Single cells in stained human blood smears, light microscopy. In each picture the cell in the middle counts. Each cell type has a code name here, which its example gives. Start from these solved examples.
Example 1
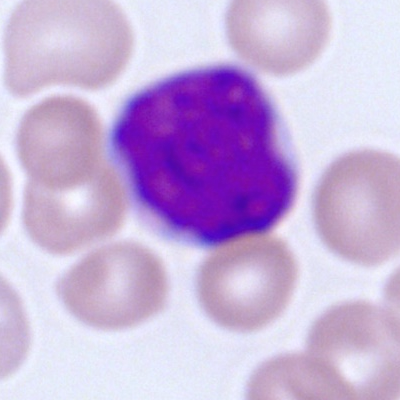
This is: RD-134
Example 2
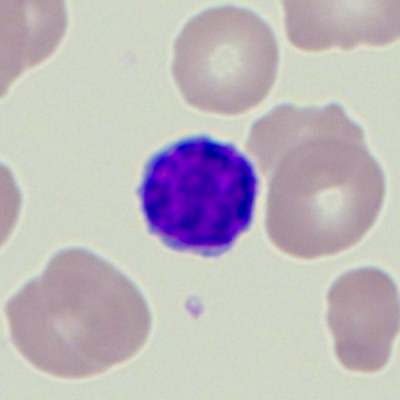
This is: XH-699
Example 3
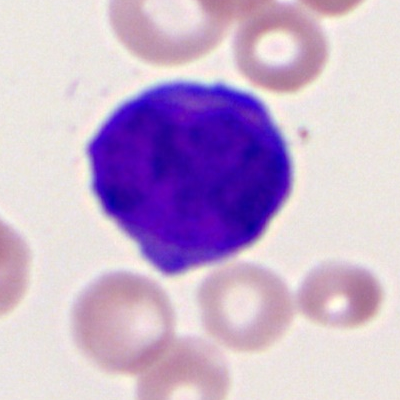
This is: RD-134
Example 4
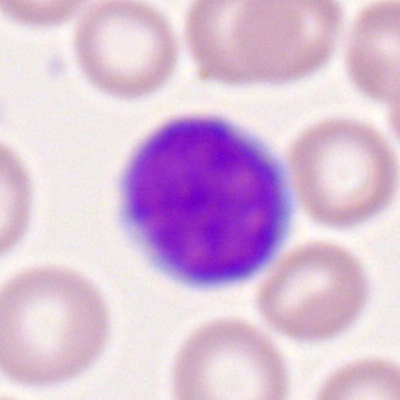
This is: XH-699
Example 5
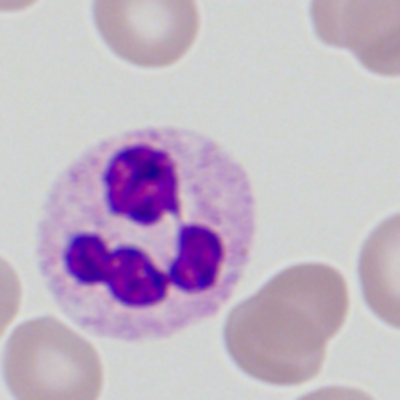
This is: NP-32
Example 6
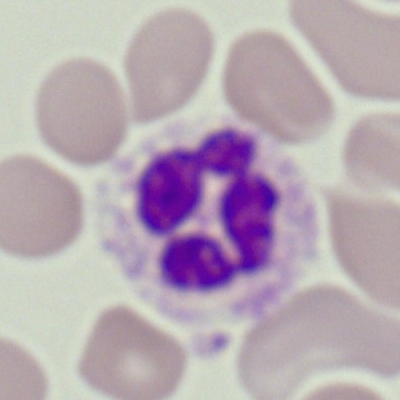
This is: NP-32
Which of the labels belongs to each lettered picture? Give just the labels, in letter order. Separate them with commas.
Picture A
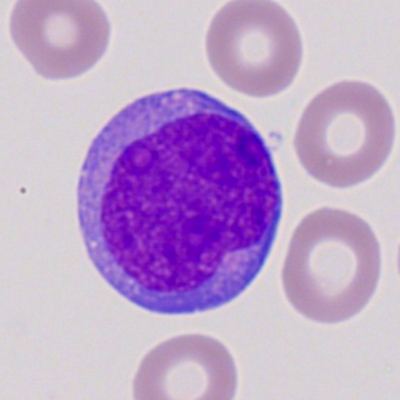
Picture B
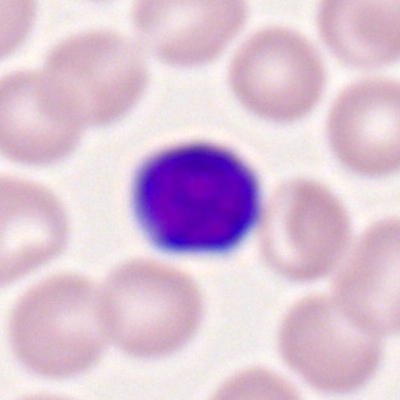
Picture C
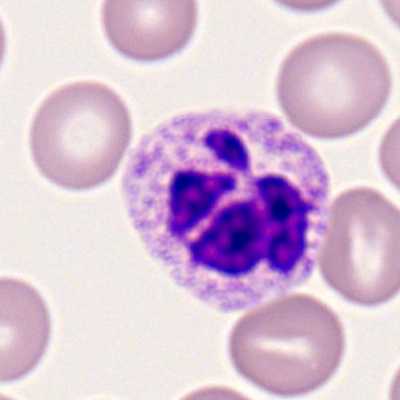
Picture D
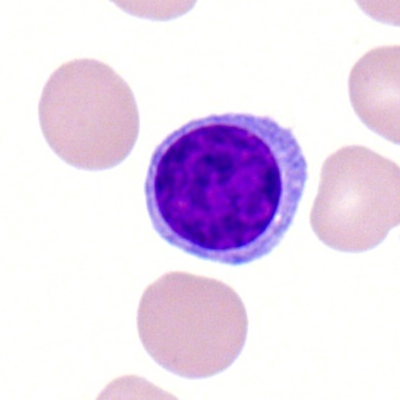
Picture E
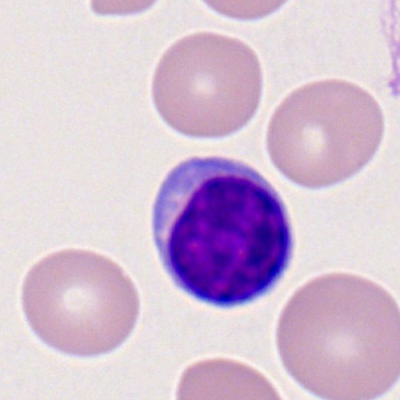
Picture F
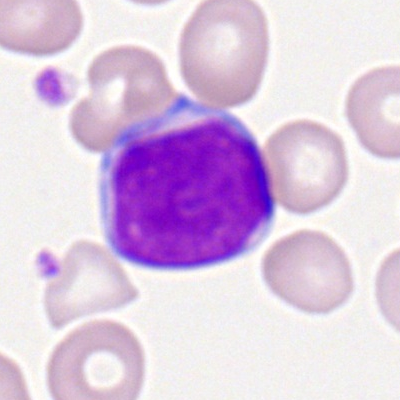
RD-134, XH-699, NP-32, XH-699, XH-699, RD-134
